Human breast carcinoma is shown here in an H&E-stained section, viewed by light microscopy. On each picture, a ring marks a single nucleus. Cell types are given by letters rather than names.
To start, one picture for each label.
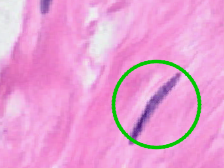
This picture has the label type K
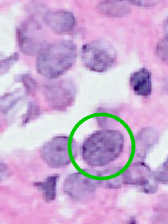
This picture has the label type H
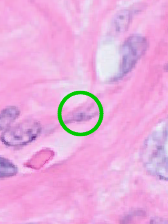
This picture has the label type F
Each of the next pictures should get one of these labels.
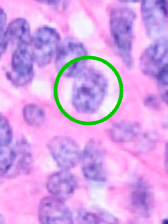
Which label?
type H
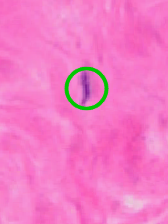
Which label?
type K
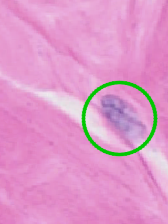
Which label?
type K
